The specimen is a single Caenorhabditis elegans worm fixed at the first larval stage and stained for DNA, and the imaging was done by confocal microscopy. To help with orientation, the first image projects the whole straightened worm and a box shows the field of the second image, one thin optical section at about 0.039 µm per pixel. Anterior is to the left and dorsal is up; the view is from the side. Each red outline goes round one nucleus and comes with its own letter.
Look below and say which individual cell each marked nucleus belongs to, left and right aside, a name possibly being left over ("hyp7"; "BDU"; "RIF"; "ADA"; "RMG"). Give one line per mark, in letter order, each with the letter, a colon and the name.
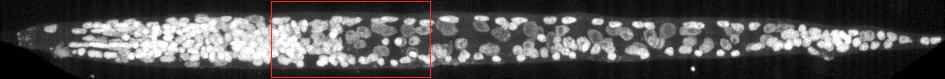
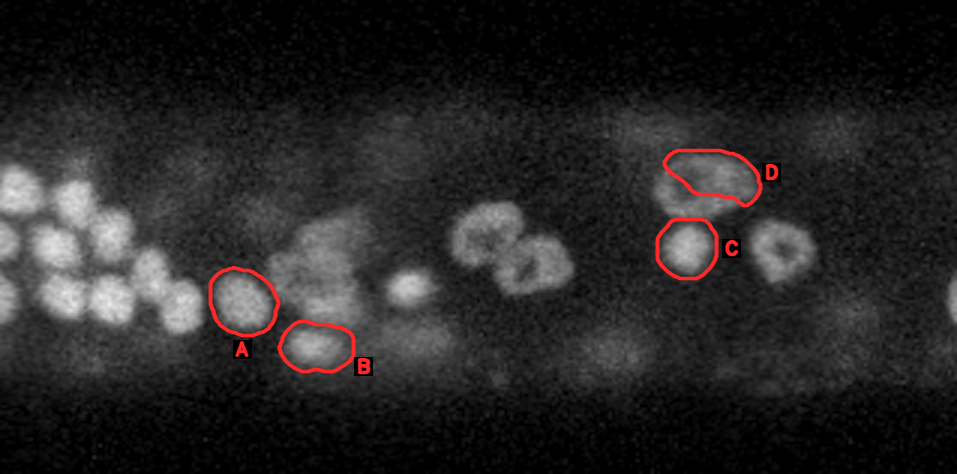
A: RMG
B: RIF
C: BDU
D: hyp7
